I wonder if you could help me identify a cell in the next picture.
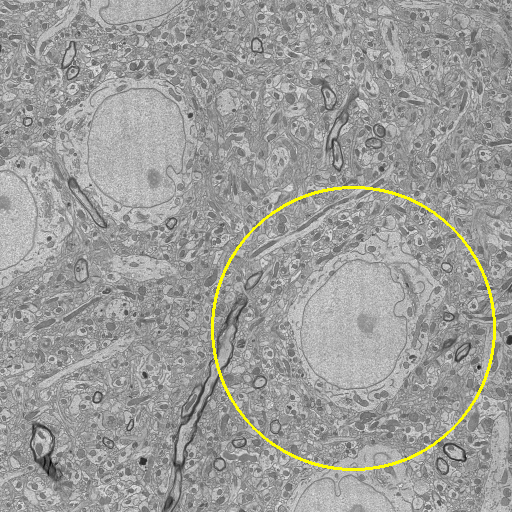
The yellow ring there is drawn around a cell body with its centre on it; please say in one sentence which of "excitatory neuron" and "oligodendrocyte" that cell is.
The yellow ring is centred on an excitatory neuron.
